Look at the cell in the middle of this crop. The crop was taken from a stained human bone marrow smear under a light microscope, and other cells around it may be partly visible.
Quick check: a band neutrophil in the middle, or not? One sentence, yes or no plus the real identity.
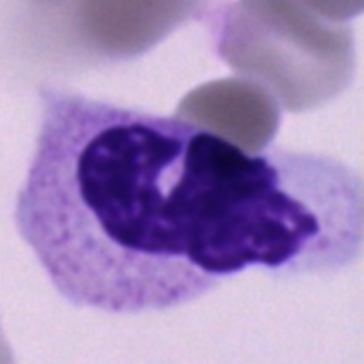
No, it is a segmented neutrophil that sits in the middle, not a band neutrophil.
